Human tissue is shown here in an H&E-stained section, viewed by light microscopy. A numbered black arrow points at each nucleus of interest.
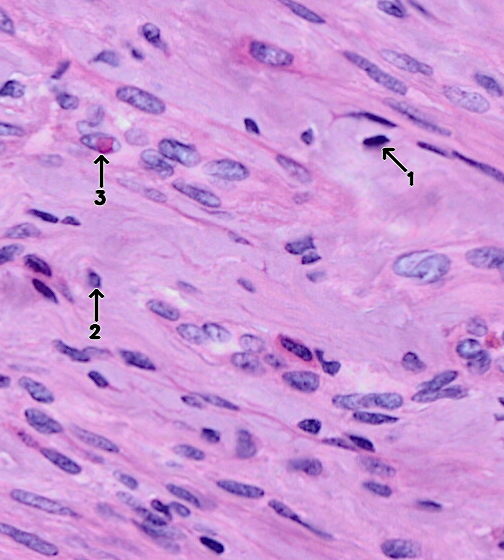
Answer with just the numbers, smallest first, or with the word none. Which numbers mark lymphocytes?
1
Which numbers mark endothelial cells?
3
